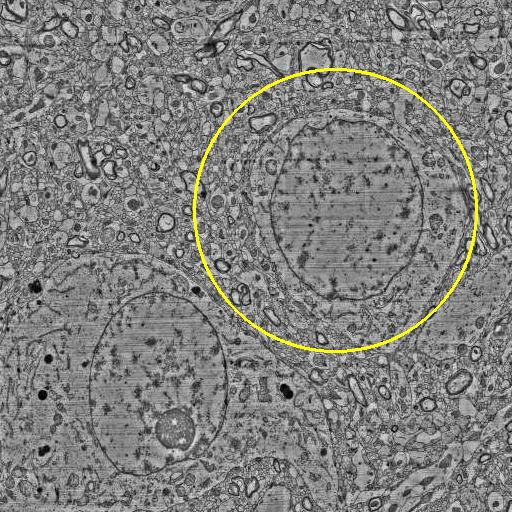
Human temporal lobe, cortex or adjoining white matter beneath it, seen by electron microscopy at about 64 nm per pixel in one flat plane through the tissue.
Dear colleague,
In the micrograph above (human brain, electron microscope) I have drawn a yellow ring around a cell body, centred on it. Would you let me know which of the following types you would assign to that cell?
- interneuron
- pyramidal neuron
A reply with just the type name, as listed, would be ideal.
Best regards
pyramidal neuron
